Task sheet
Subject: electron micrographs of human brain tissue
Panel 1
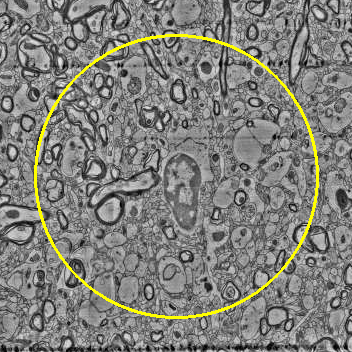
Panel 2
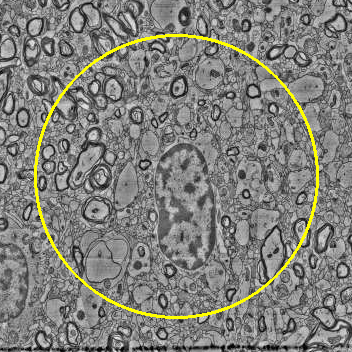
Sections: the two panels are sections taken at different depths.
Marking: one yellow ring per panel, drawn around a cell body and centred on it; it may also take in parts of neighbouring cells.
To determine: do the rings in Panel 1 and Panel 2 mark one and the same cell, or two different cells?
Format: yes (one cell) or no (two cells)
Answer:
yes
